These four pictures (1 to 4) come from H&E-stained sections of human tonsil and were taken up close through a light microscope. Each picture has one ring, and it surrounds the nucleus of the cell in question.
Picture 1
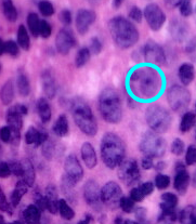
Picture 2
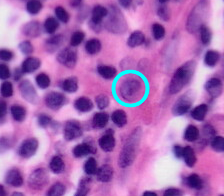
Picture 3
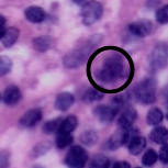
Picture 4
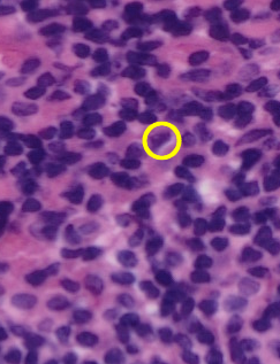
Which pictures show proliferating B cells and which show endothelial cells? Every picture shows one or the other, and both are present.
1: proliferating B cell
2: endothelial cell
3: proliferating B cell
4: endothelial cell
